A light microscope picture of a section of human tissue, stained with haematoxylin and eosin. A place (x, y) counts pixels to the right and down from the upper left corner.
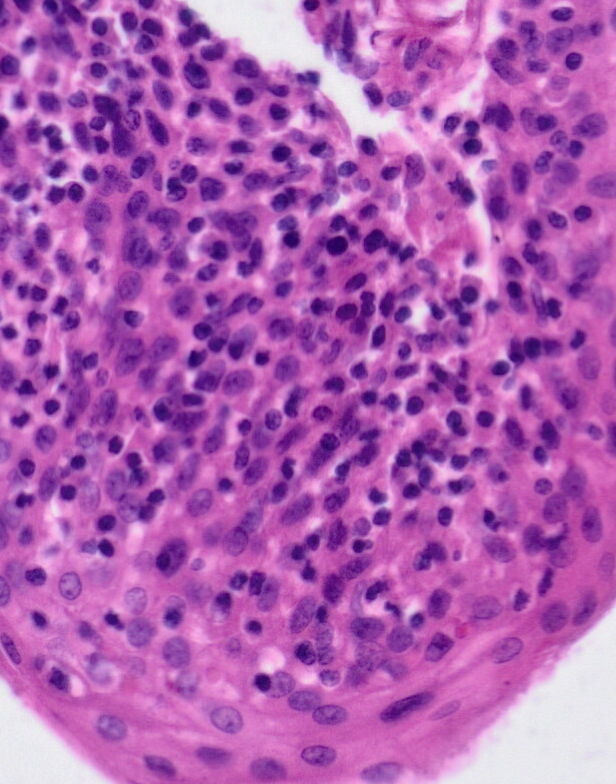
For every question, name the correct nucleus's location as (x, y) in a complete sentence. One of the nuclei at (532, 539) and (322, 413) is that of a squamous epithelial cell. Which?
The cell to which the nucleus at (532, 539) belongs is a squamous epithelial cell.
